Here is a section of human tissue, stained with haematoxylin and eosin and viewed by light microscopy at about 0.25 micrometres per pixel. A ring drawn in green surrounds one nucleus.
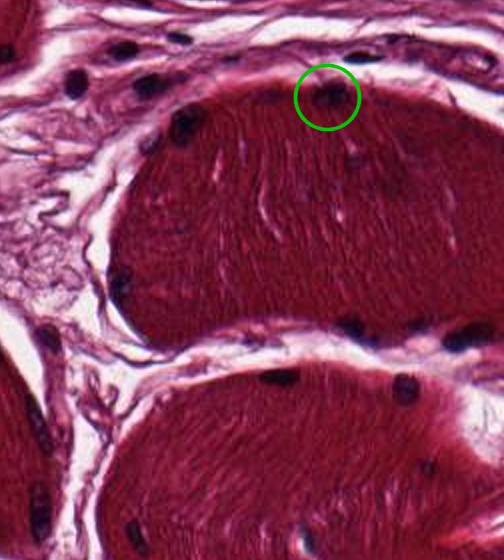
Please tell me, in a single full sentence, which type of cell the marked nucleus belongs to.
Here the marked nucleus belongs to a skeletal muscle fibre.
